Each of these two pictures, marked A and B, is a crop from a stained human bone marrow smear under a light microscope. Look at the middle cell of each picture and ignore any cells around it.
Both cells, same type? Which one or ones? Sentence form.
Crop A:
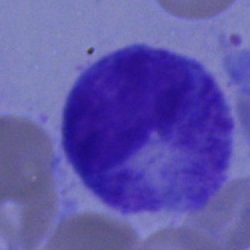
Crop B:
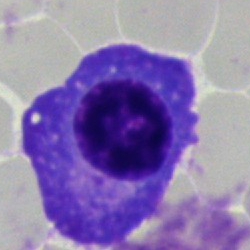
No, crop A holds a promyelocyte, and a plasma cell occupies crop B.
